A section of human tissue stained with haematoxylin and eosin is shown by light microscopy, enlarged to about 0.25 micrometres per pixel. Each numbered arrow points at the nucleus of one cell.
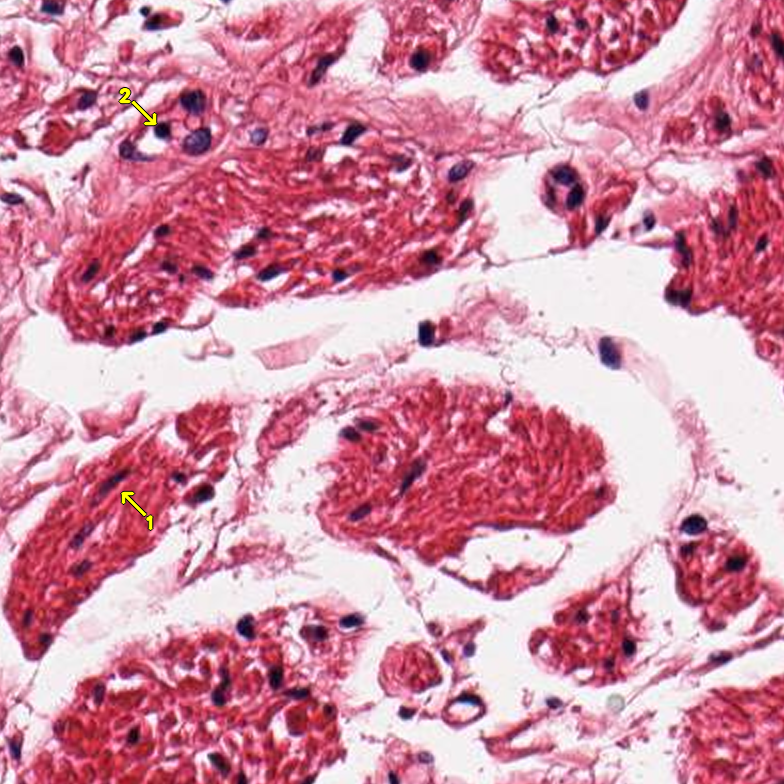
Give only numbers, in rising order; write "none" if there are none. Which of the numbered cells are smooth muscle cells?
1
